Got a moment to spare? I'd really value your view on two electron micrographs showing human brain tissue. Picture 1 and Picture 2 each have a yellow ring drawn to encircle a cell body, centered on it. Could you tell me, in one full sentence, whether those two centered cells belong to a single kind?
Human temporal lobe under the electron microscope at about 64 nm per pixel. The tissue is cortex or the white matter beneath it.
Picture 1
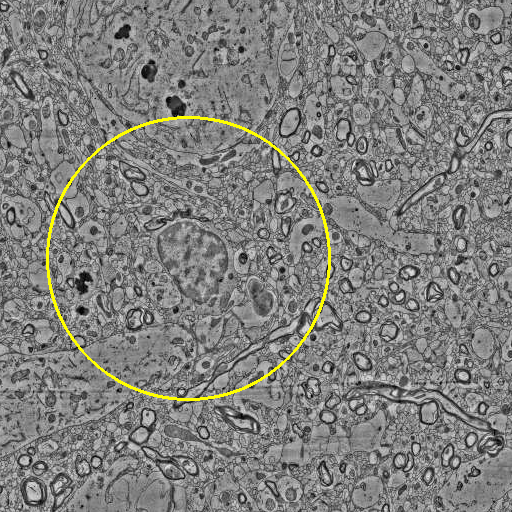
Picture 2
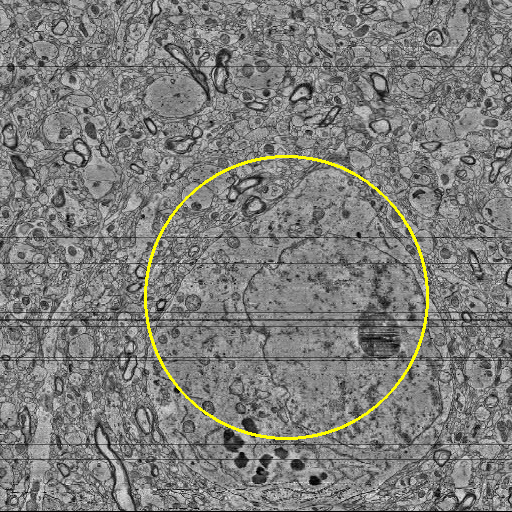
No, the two centered cells in Picture 1 and Picture 2 are of two kinds.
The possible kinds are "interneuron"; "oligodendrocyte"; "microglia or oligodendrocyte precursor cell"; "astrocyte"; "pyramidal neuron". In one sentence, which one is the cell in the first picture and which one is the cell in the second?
The cell ringed in the second picture is a pyramidal neuron, whereas the one ringed in the first is an oligodendrocyte.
